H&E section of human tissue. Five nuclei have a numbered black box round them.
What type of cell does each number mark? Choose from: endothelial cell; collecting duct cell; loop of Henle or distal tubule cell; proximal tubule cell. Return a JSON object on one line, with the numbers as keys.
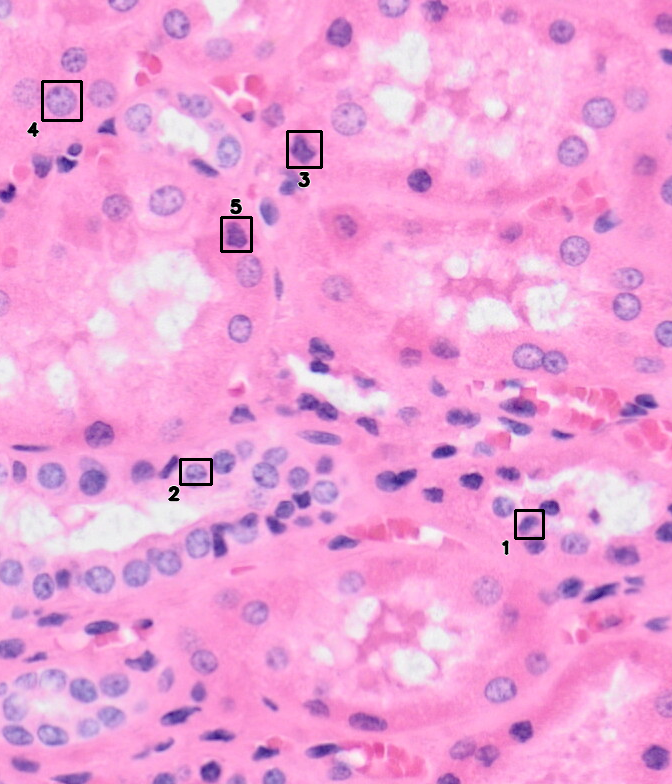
{"1": "loop of Henle or distal tubule cell", "2": "collecting duct cell", "3": "proximal tubule cell", "4": "proximal tubule cell", "5": "proximal tubule cell"}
